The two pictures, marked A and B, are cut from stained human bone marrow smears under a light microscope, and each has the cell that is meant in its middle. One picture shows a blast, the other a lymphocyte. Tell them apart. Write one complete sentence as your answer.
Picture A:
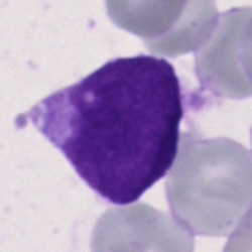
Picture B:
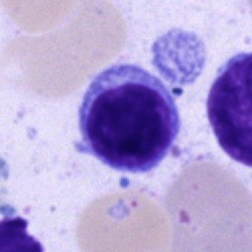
Picture A shows a blast and picture B shows a lymphocyte.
